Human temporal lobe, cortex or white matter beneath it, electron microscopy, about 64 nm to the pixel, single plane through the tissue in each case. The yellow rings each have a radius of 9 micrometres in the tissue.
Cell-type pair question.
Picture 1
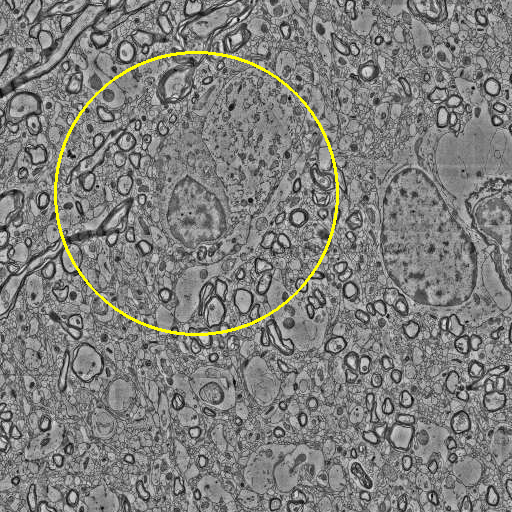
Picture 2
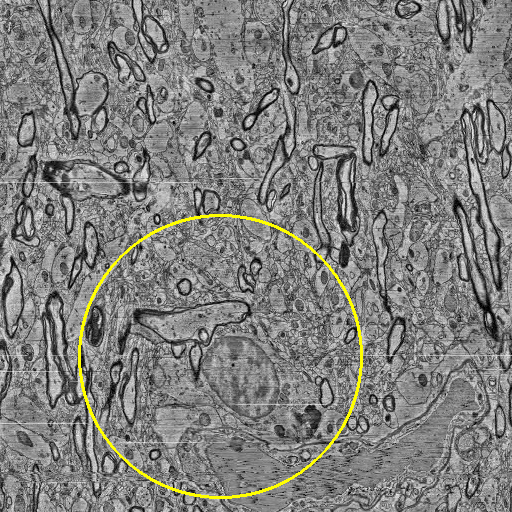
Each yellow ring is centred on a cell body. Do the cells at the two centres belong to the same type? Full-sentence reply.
Yes, the two cells belong to the same type.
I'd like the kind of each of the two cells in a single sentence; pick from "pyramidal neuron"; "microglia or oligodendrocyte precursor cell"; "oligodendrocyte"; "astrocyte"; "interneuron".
Both rings mark an oligodendrocyte, one in each picture.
